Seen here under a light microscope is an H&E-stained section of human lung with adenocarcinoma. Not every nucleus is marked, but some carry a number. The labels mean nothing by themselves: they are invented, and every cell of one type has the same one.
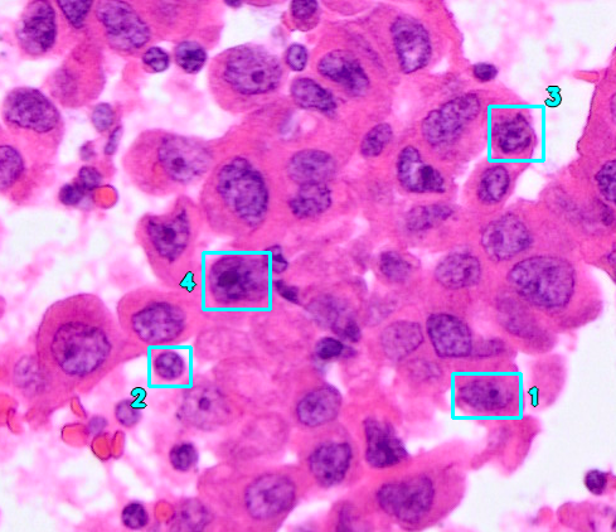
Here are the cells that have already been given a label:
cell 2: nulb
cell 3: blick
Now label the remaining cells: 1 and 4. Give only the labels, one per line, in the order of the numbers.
blick
blick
